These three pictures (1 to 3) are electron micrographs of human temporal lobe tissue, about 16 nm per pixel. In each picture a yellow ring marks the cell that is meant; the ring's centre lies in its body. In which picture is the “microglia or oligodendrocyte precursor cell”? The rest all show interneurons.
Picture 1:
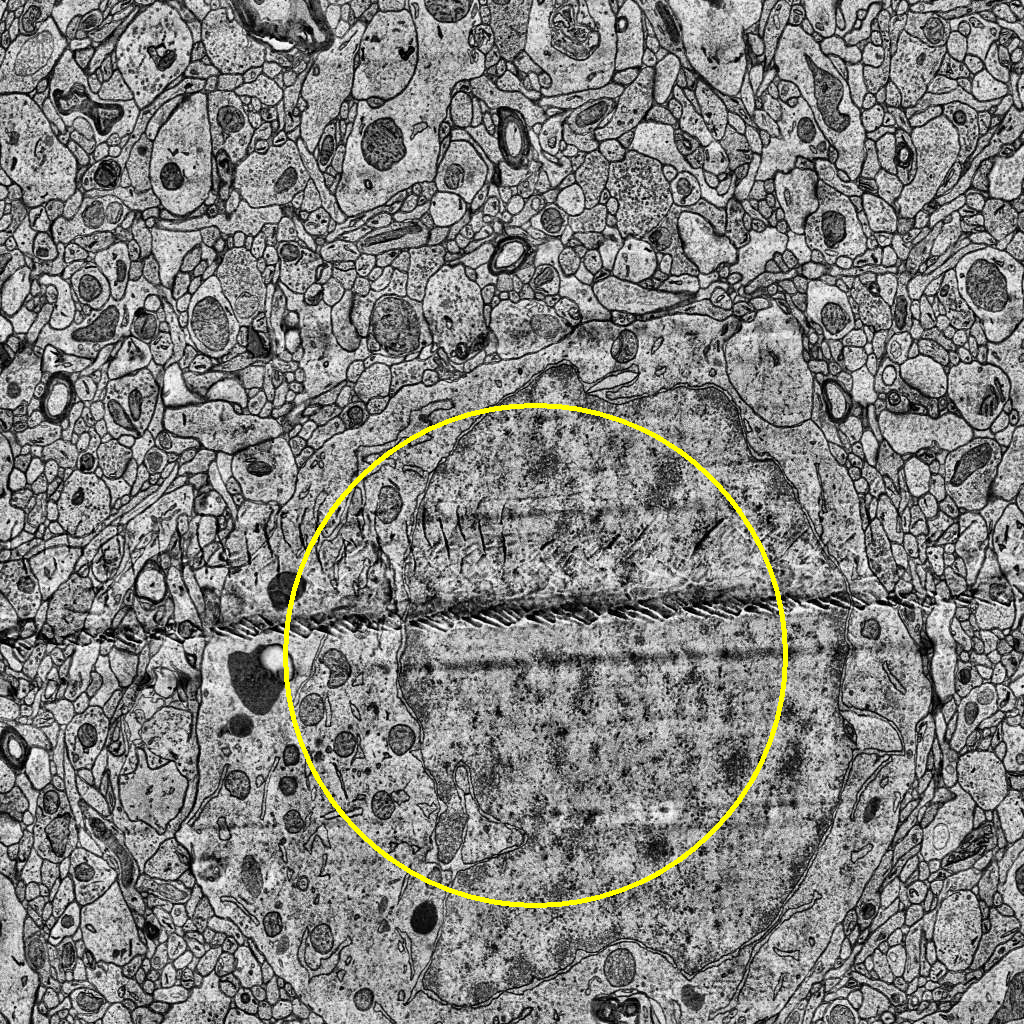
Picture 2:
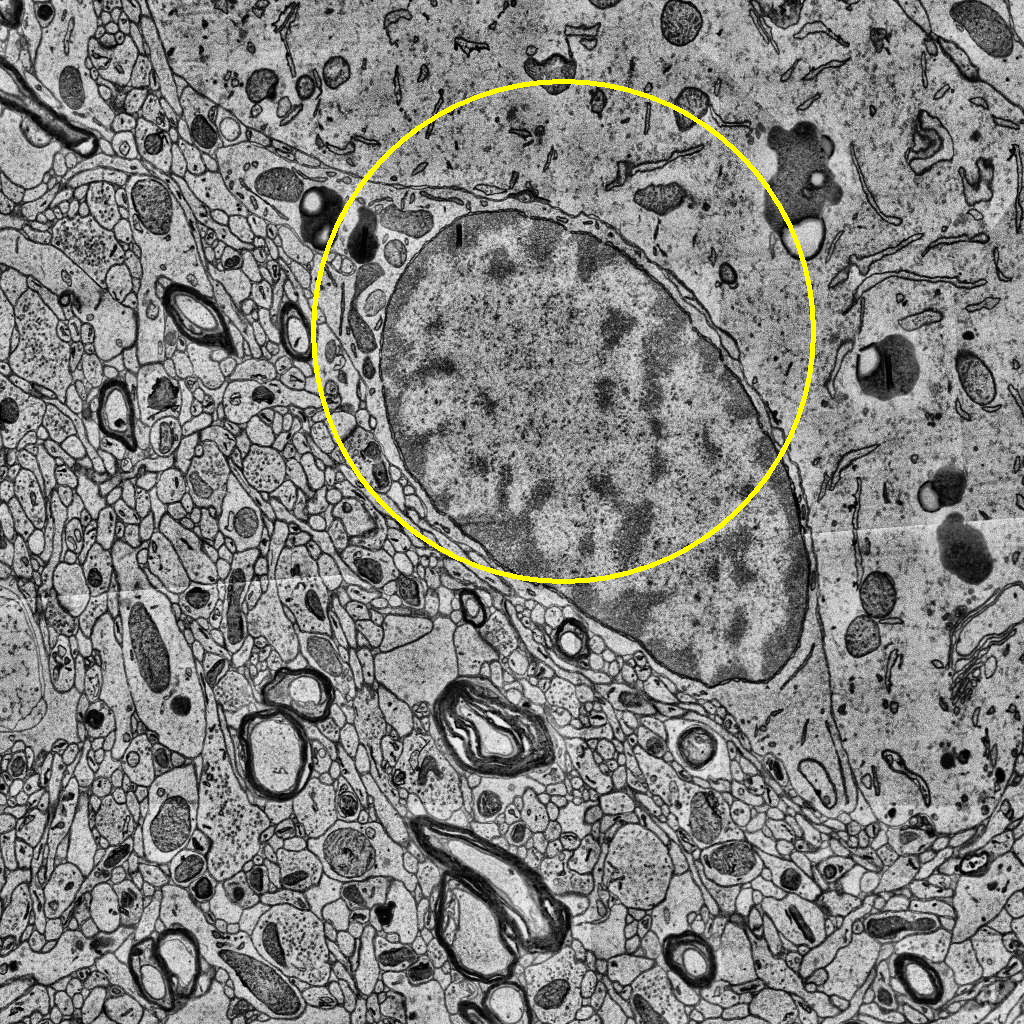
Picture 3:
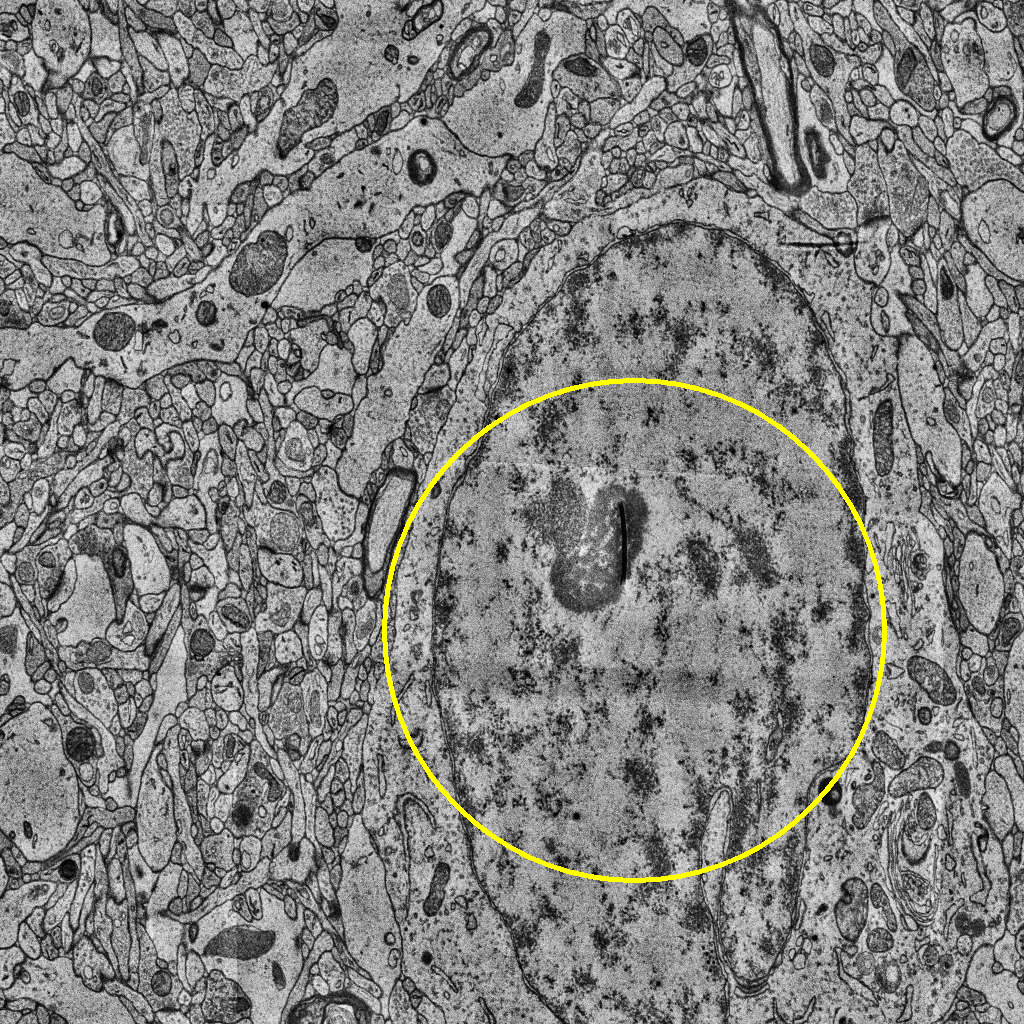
Picture 2 shows the “microglia or oligodendrocyte precursor cell”.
